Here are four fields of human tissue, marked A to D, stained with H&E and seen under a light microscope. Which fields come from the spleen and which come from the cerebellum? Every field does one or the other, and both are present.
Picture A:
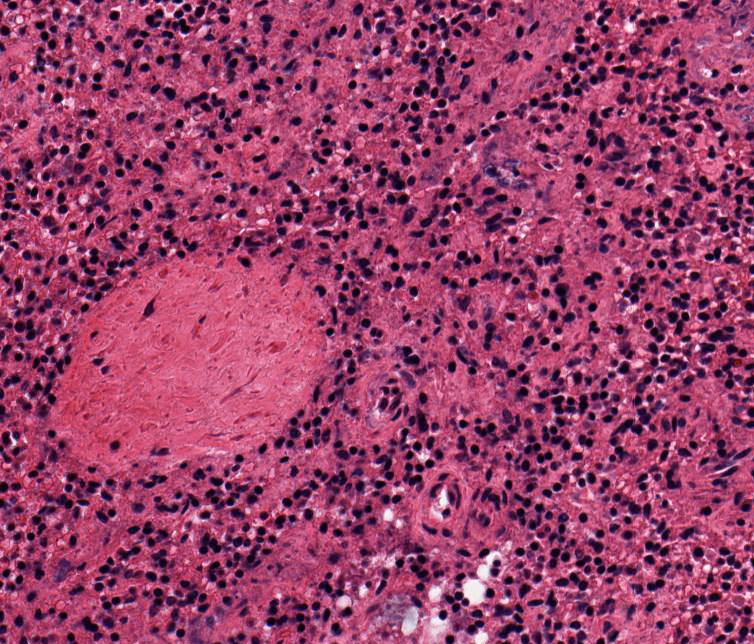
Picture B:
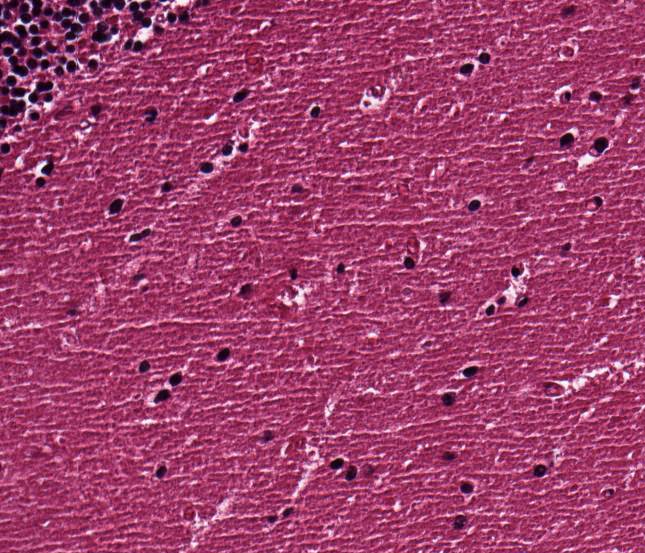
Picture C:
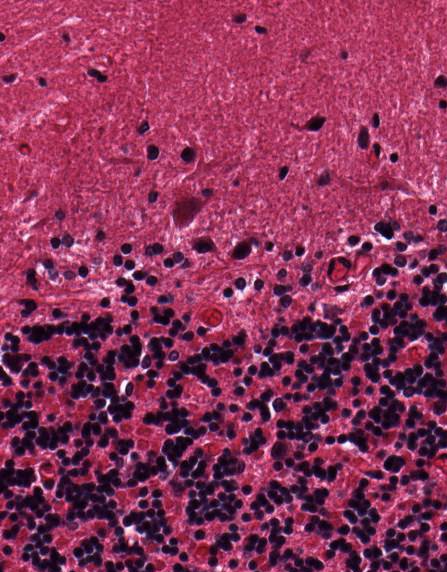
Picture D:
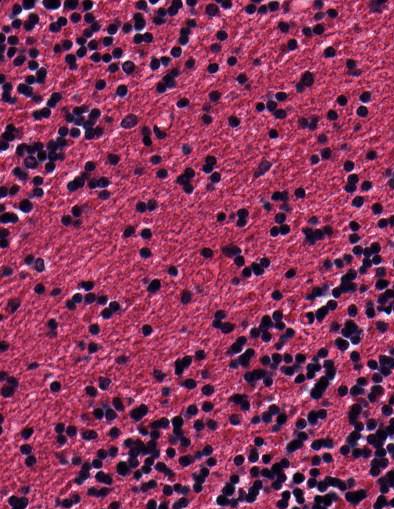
A: spleen
B: cerebellum
C: cerebellum
D: cerebellum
